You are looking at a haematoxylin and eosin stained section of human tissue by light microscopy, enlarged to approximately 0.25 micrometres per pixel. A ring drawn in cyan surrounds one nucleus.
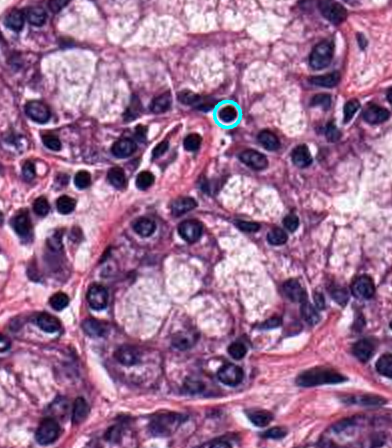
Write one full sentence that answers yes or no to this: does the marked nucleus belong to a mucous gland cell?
No, the marked nucleus belongs to a supporting cell, not to a mucous gland cell.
